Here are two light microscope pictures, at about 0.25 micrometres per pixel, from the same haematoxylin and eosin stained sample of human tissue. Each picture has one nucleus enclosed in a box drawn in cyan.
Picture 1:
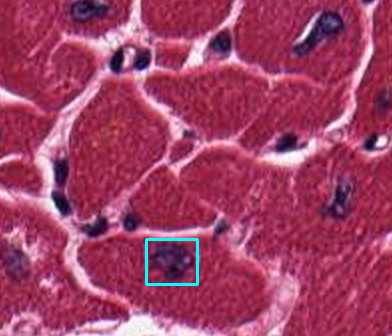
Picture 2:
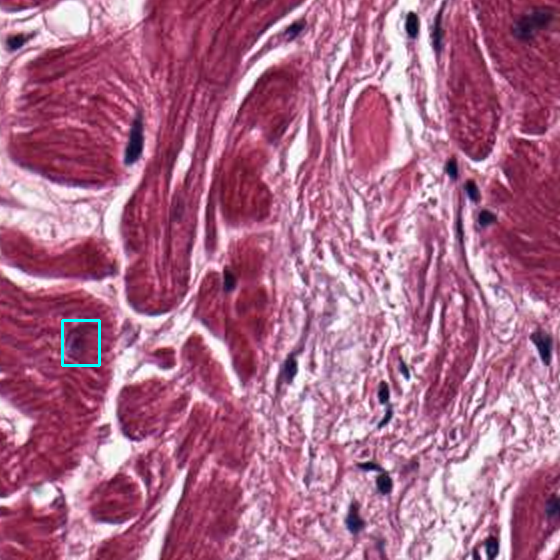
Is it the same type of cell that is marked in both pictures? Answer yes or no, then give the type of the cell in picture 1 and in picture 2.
Yes, both are cardiomyocytes.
